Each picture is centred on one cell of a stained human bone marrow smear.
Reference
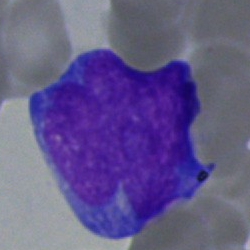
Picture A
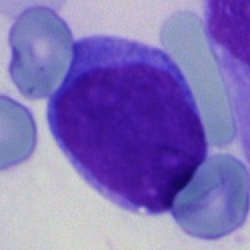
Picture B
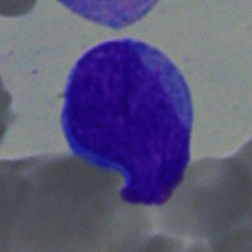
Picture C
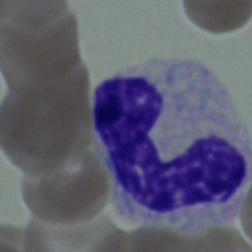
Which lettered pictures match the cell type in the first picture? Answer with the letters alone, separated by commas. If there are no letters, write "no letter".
A, B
